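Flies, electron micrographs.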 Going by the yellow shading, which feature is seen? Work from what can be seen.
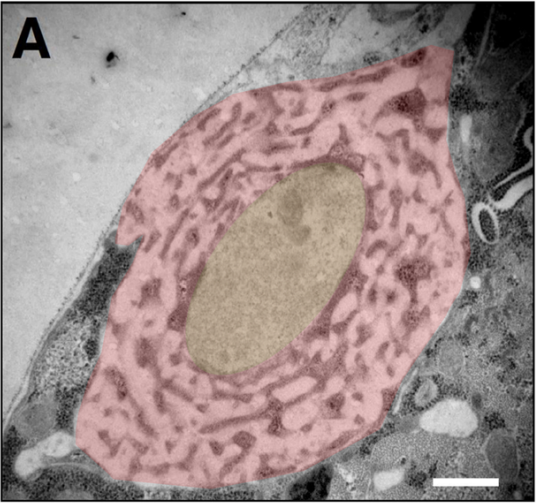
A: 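The yellow-shaded region is a large oval membrane-bound profile in the centre. It is completely surrounded by a thick pink-shaded band of folded membranes. So: bouton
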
